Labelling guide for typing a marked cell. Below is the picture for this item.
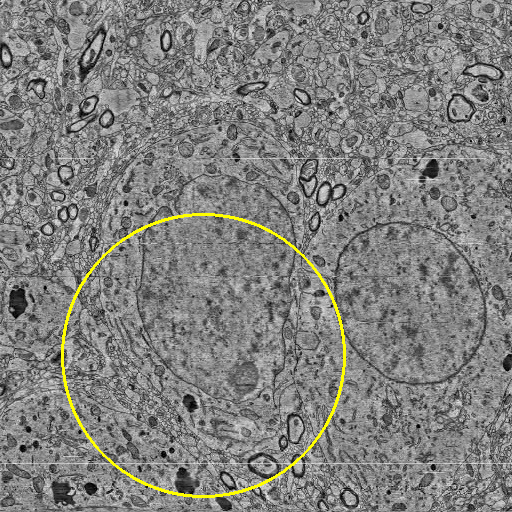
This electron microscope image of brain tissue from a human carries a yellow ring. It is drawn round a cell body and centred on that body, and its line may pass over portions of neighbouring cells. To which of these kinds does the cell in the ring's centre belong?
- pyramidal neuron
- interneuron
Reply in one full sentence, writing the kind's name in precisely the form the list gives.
Here we have an interneuron at the centre of the yellow ring in the picture.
